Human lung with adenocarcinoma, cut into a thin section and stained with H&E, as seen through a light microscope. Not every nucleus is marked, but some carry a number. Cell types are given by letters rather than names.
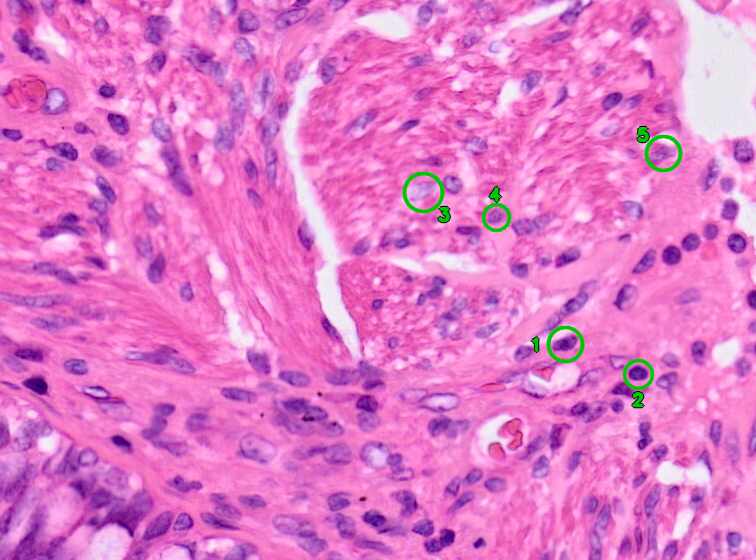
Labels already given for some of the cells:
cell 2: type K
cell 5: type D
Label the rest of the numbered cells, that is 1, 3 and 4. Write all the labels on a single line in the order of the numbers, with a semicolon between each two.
type K; type D; type D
